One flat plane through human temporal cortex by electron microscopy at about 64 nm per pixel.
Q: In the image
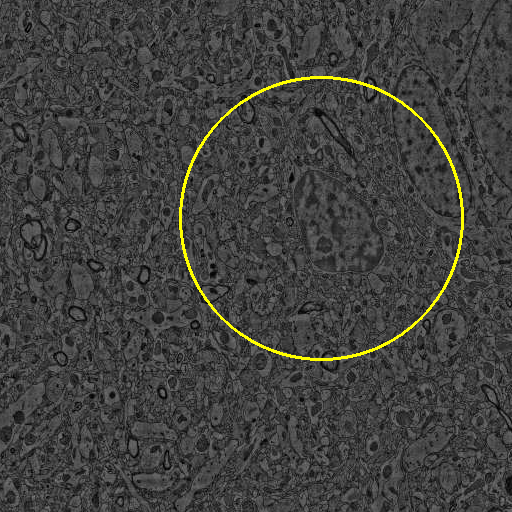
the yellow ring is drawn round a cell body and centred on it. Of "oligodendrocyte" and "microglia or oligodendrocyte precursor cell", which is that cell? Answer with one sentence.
The cell centred in the ring is a microglial cell or oligodendrocyte precursor cell.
